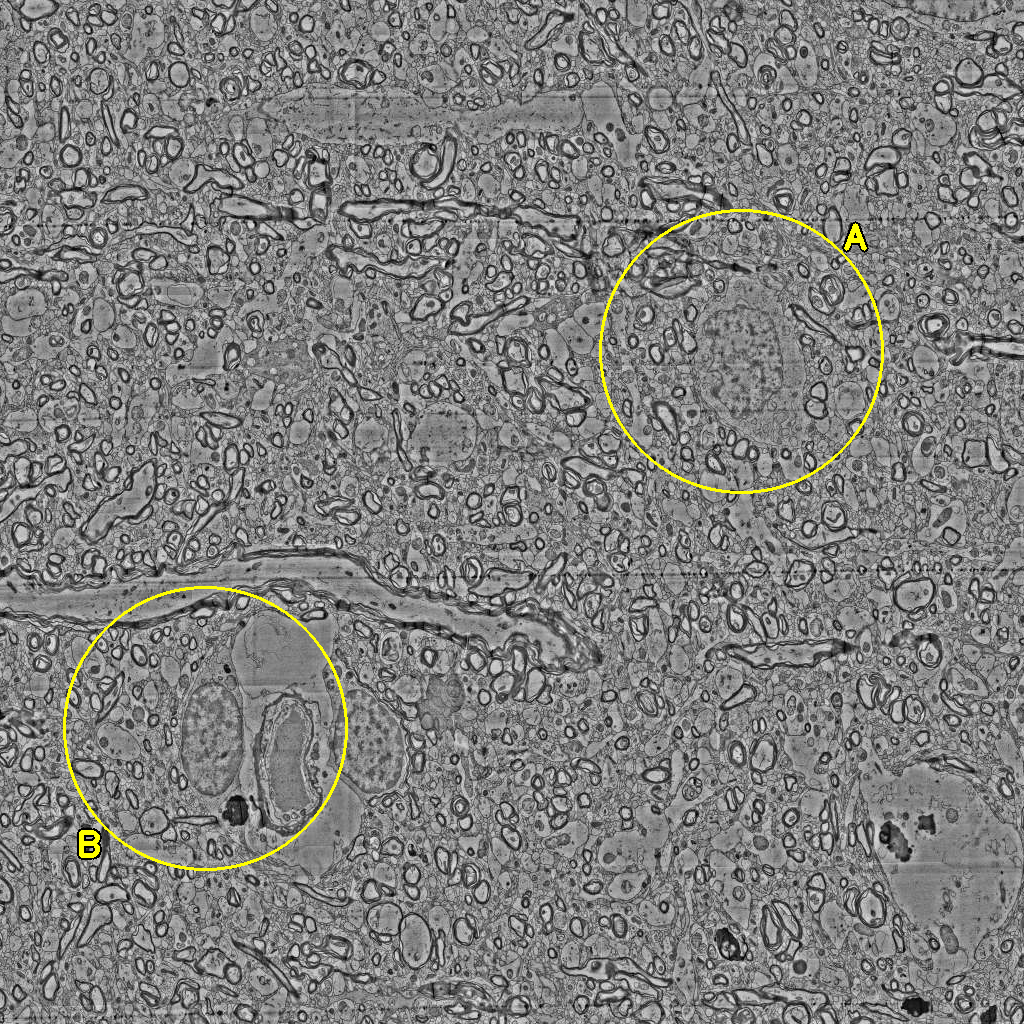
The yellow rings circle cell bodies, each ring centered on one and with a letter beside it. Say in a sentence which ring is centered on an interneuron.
Ring A is centered on it.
